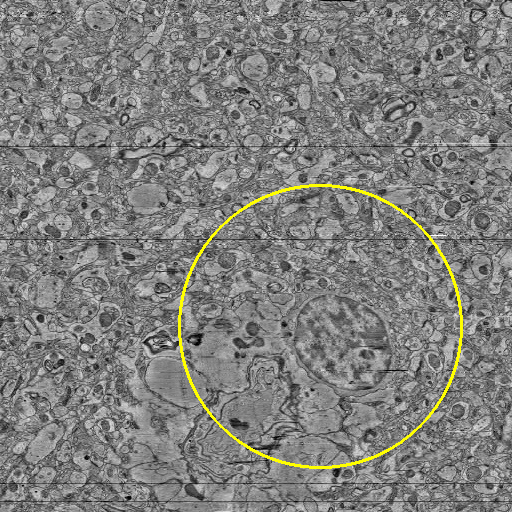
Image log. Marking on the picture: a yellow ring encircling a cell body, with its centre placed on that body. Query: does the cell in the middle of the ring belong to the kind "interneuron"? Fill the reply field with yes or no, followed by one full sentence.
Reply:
No, the cell at the centre of the yellow ring in this picture belongs to a different kind.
